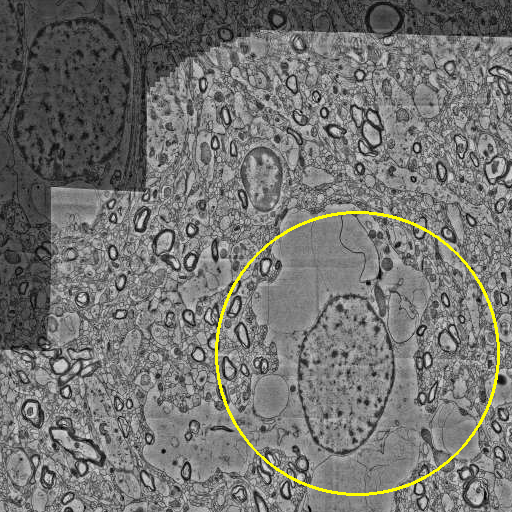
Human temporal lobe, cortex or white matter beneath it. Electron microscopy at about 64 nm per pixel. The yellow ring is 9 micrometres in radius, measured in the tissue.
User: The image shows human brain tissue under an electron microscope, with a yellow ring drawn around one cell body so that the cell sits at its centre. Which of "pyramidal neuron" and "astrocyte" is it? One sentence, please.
At the centre of the ring sits an astrocyte.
